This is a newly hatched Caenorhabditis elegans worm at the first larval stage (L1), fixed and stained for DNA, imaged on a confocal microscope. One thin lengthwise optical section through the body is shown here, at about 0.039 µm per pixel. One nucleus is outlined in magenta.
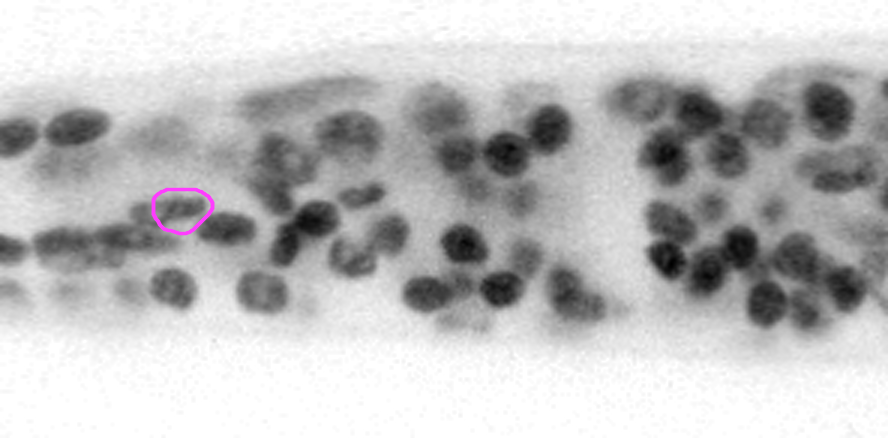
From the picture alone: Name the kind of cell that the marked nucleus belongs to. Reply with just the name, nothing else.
pharyngeal muscle cell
